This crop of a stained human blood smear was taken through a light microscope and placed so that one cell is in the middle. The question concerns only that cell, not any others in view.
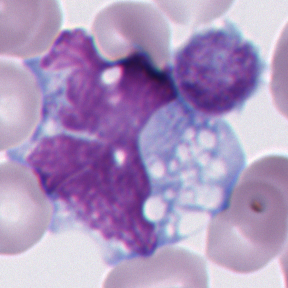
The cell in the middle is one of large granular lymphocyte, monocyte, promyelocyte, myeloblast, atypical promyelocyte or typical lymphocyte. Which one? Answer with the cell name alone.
monocyte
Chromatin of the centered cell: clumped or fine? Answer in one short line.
There is no coarse clumping; the chromatin stays fine throughout.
